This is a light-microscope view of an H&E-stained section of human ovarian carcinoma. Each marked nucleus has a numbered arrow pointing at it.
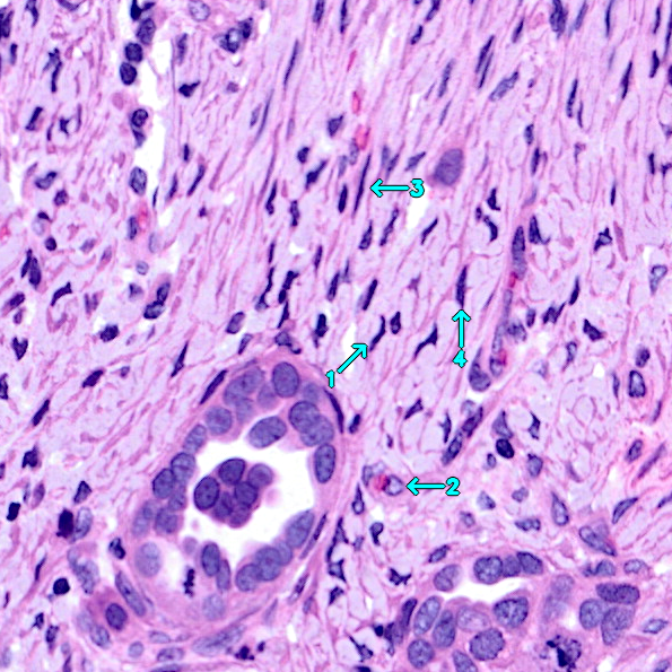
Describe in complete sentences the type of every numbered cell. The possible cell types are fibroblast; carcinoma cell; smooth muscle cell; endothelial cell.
Cells 1, 3 and 4 are fibroblasts. Cell 2 is an endothelial cell.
